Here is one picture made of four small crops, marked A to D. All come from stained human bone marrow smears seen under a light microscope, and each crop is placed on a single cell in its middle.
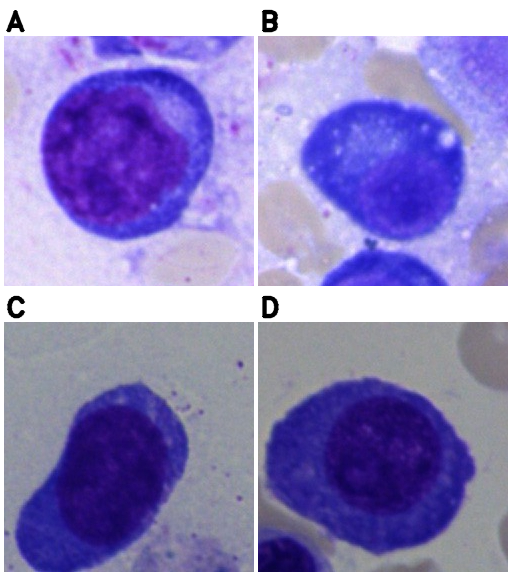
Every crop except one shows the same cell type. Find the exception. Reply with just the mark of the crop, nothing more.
A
